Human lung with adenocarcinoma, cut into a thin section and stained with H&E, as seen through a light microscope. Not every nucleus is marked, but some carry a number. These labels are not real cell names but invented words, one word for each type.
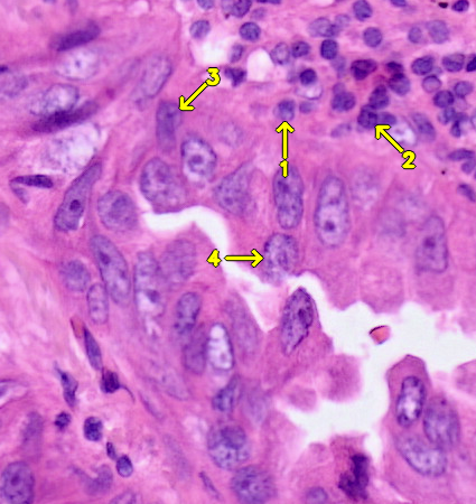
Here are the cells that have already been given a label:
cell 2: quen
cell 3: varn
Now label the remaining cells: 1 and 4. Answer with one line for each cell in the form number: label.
1: quen
4: varn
